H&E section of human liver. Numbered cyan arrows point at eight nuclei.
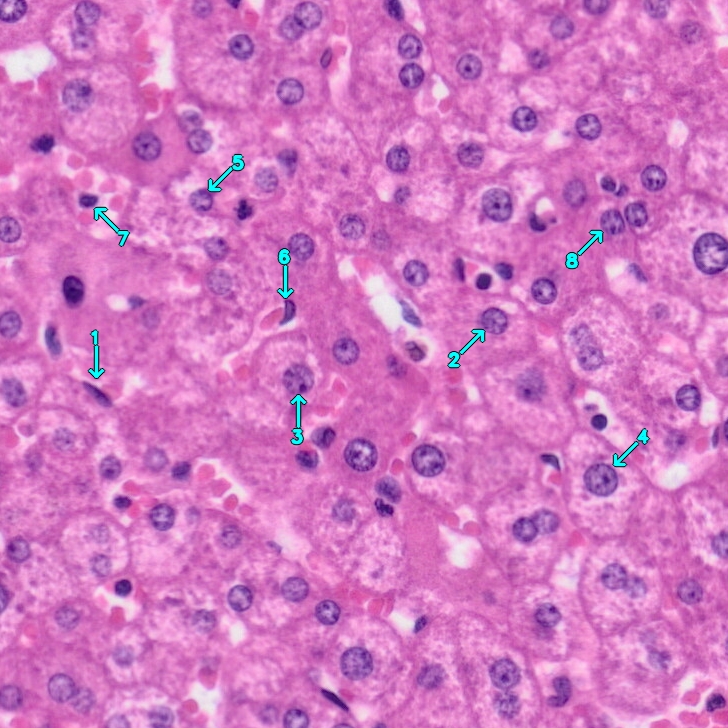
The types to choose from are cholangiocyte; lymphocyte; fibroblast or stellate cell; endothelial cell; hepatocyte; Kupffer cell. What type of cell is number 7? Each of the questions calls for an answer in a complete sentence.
In the tissue shown, cell 7 is a lymphocyte.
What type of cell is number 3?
The cell to which the number 3 is assigned is a hepatocyte.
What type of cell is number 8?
Regarding cell 8, this one is a hepatocyte.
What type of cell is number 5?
The cell carrying label 5 is identified as a hepatocyte.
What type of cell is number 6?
Of the numbered cells, the one labelled 6 is an endothelial cell.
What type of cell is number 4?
Belonging to a hepatocyte is the nucleus that carries the number 4.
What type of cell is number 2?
The cell marked with number 2 is a hepatocyte.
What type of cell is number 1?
Cell 1, as marked in the section, is an endothelial cell.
